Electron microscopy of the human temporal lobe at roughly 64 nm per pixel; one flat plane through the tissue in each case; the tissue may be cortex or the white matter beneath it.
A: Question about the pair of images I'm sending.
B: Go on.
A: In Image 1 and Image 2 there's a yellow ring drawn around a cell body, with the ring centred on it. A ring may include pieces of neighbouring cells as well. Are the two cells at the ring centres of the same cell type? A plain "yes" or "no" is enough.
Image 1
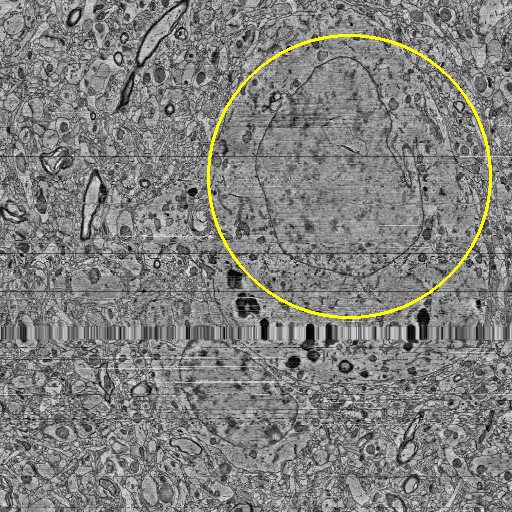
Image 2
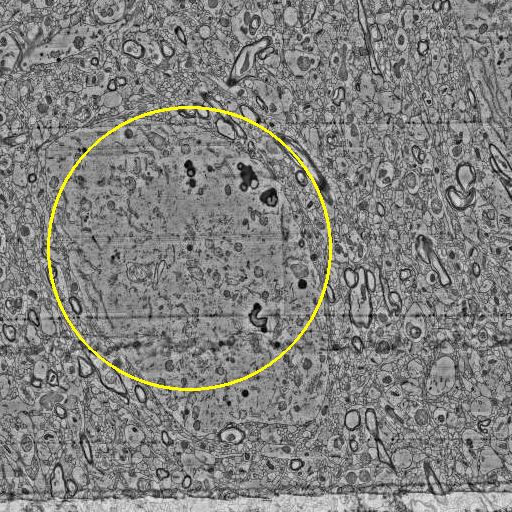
yes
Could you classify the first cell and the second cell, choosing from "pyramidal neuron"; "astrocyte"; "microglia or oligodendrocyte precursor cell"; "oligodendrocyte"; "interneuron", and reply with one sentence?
Both rings mark a pyramidal neuron, one in each picture.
